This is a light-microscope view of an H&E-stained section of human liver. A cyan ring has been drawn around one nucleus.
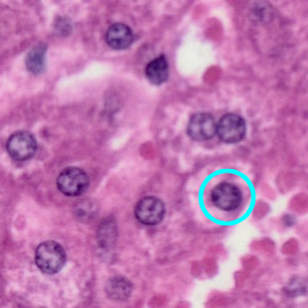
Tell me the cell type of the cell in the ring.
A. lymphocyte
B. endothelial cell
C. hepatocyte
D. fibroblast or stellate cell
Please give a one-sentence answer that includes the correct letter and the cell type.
The choice that fits is option C, as the cell in the ring is a hepatocyte.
